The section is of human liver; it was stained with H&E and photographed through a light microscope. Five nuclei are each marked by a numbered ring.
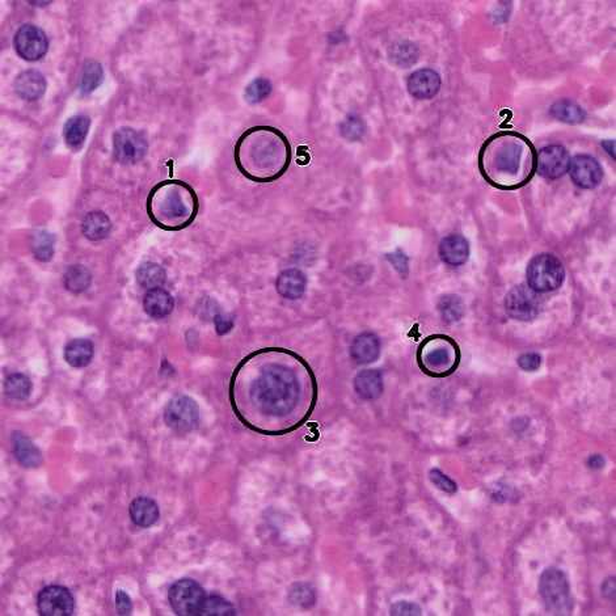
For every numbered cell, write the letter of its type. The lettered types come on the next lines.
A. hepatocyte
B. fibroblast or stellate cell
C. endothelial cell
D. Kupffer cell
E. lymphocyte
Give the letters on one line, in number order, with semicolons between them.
C; C; A; E; A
